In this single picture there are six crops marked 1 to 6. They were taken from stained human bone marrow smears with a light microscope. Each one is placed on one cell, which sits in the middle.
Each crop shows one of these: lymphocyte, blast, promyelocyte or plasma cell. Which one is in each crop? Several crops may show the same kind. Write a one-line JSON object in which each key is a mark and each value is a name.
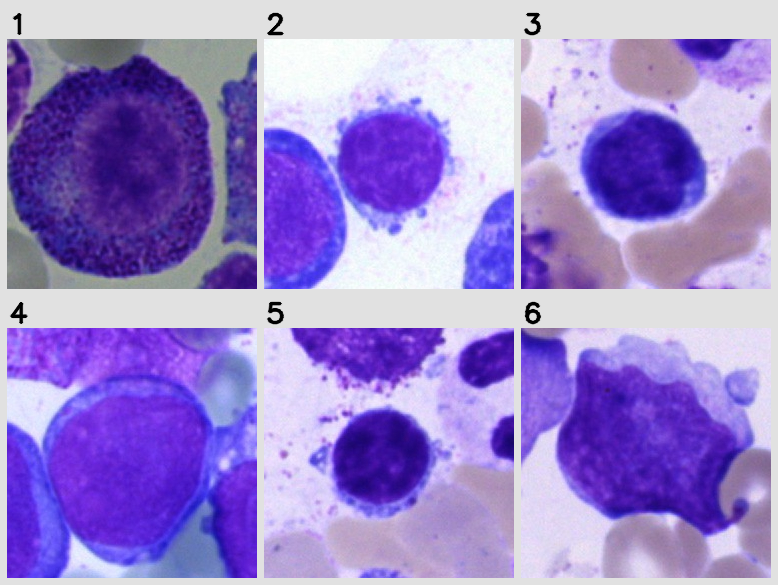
{"1": "promyelocyte", "2": "lymphocyte", "3": "lymphocyte", "4": "blast", "5": "lymphocyte", "6": "blast"}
